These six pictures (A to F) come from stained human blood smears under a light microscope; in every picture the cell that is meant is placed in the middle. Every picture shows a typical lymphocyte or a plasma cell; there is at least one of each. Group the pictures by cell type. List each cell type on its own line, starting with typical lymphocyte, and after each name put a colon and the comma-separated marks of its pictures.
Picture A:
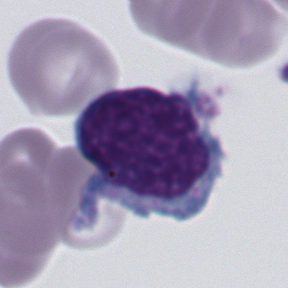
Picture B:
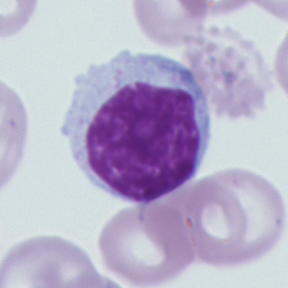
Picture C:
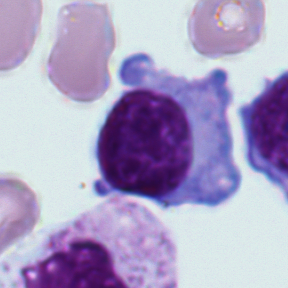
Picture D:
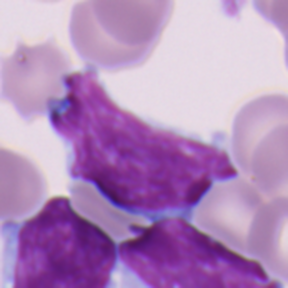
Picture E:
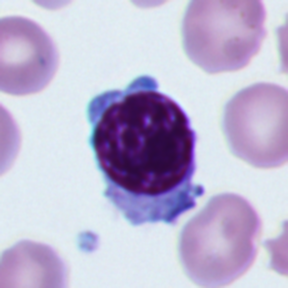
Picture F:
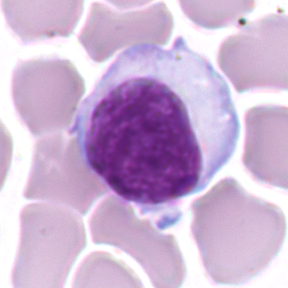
typical lymphocyte: A, B, D, E
plasma cell: C, F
